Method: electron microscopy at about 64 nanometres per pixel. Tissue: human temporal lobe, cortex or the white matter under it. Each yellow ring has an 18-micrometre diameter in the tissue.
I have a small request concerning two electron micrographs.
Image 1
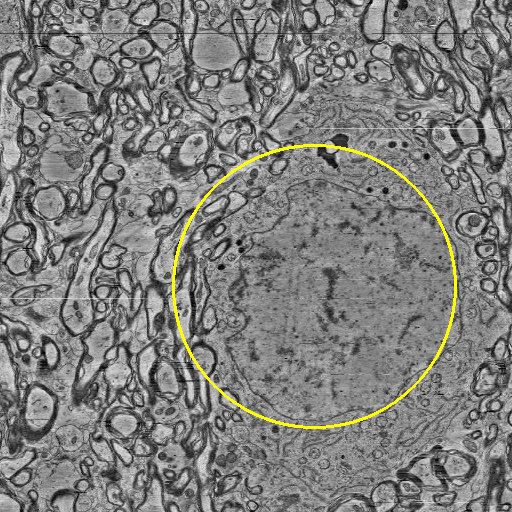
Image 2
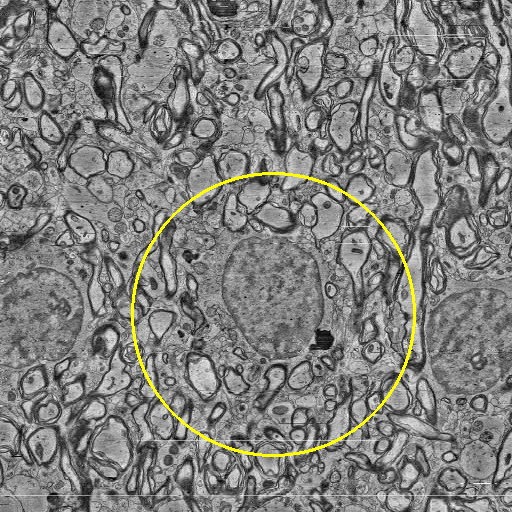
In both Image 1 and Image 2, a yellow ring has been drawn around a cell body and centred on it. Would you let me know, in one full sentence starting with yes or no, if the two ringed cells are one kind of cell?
No, the cells ringed in Image 1 and Image 2 are two kinds of cell.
